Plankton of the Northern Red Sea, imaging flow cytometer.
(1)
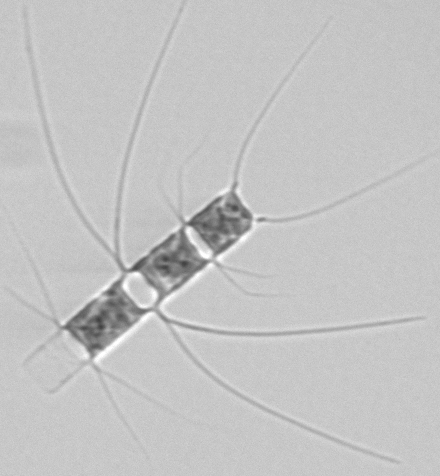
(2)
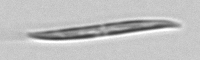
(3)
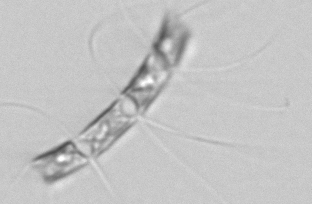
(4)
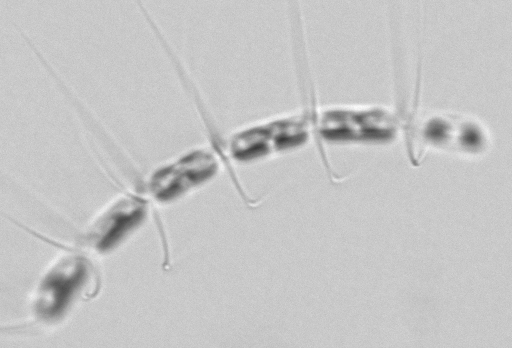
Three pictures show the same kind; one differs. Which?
Picture 2: Pseudo-nitzschia, while the others are Chaetoceros.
